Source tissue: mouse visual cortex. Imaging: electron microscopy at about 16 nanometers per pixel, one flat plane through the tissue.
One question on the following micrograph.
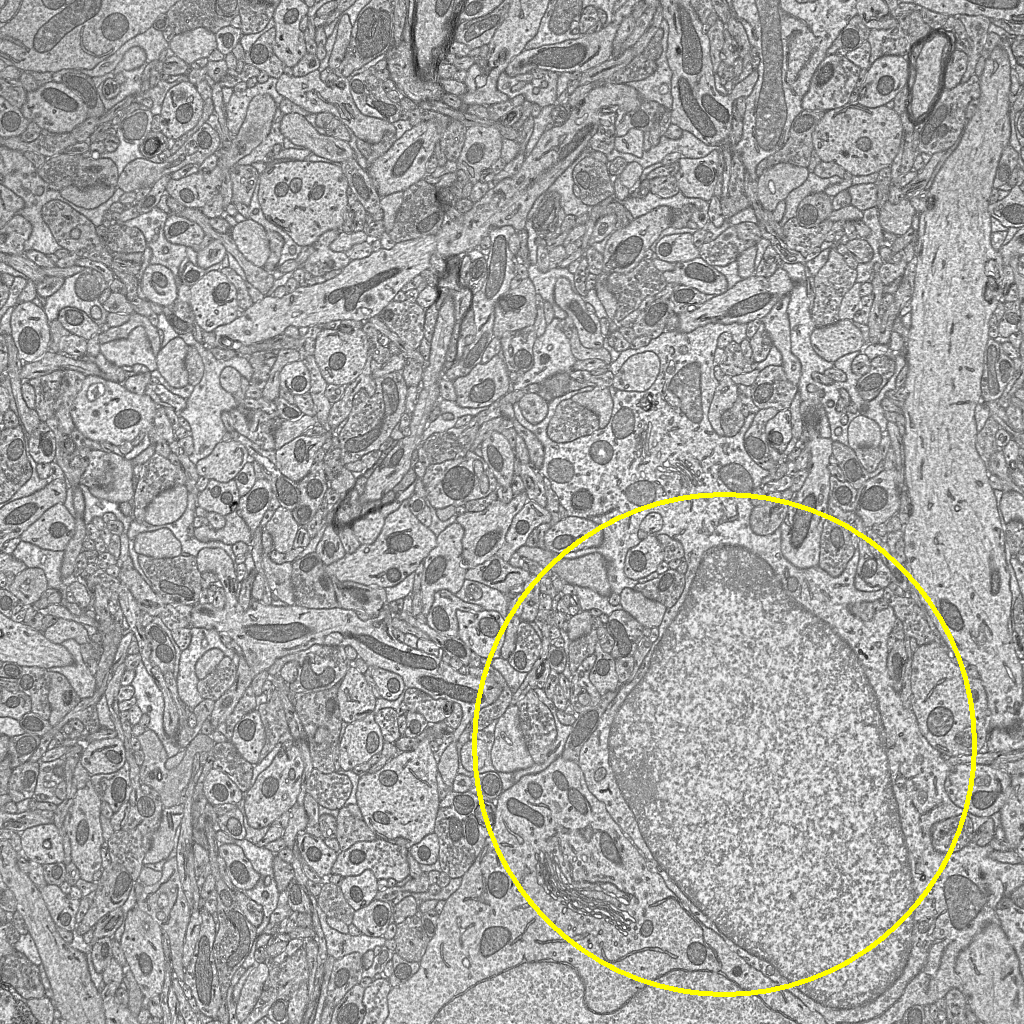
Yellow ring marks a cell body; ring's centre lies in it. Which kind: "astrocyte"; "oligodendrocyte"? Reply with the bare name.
astrocyte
